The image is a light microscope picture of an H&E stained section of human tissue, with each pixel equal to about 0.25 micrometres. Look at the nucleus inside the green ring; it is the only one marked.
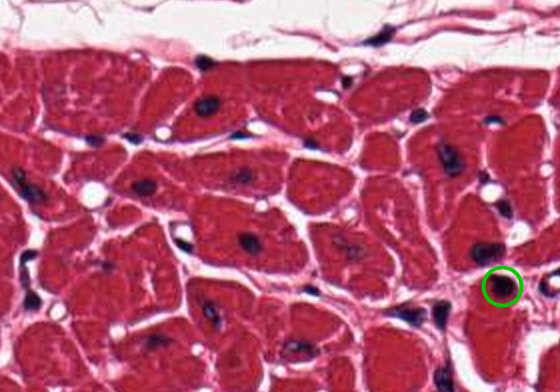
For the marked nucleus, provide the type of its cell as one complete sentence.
Within the picture, the marked nucleus belongs to a cardiomyocyte.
